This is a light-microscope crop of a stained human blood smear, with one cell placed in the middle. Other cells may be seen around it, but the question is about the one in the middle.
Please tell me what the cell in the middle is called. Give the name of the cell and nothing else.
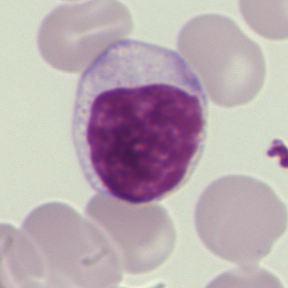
large granular lymphocyte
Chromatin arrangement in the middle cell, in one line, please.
If you check the nucleus, you will find the chromatin coarsely clumped.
